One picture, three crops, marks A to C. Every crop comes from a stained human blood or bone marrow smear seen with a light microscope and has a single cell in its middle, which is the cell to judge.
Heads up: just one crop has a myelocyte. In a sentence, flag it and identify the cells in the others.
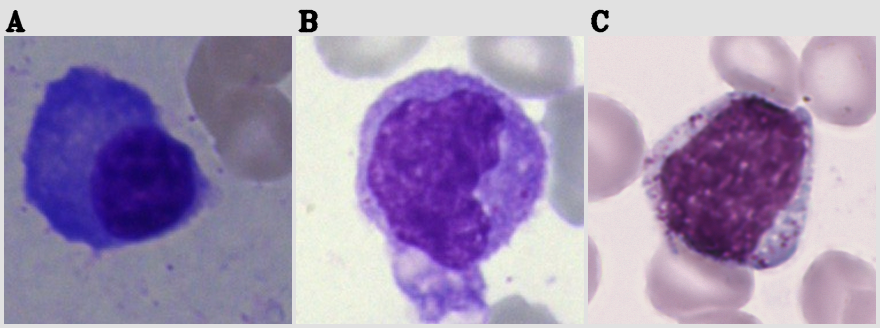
Crop C shows a myelocyte in its middle, while crop A is a plasma cell and crop B is a monocyte.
